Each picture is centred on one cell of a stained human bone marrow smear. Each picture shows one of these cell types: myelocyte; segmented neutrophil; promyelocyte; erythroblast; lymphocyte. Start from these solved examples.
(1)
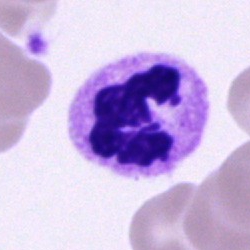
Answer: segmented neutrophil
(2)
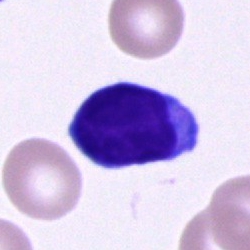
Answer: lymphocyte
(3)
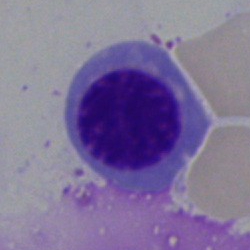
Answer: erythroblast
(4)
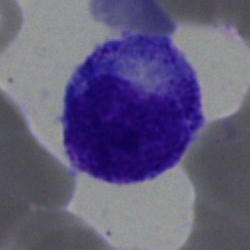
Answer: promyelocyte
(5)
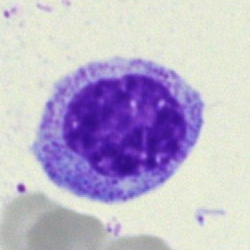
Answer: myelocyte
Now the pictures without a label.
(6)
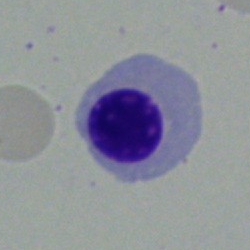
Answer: erythroblast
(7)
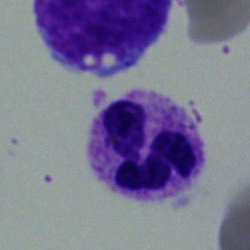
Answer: segmented neutrophil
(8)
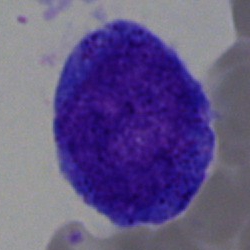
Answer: promyelocyte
